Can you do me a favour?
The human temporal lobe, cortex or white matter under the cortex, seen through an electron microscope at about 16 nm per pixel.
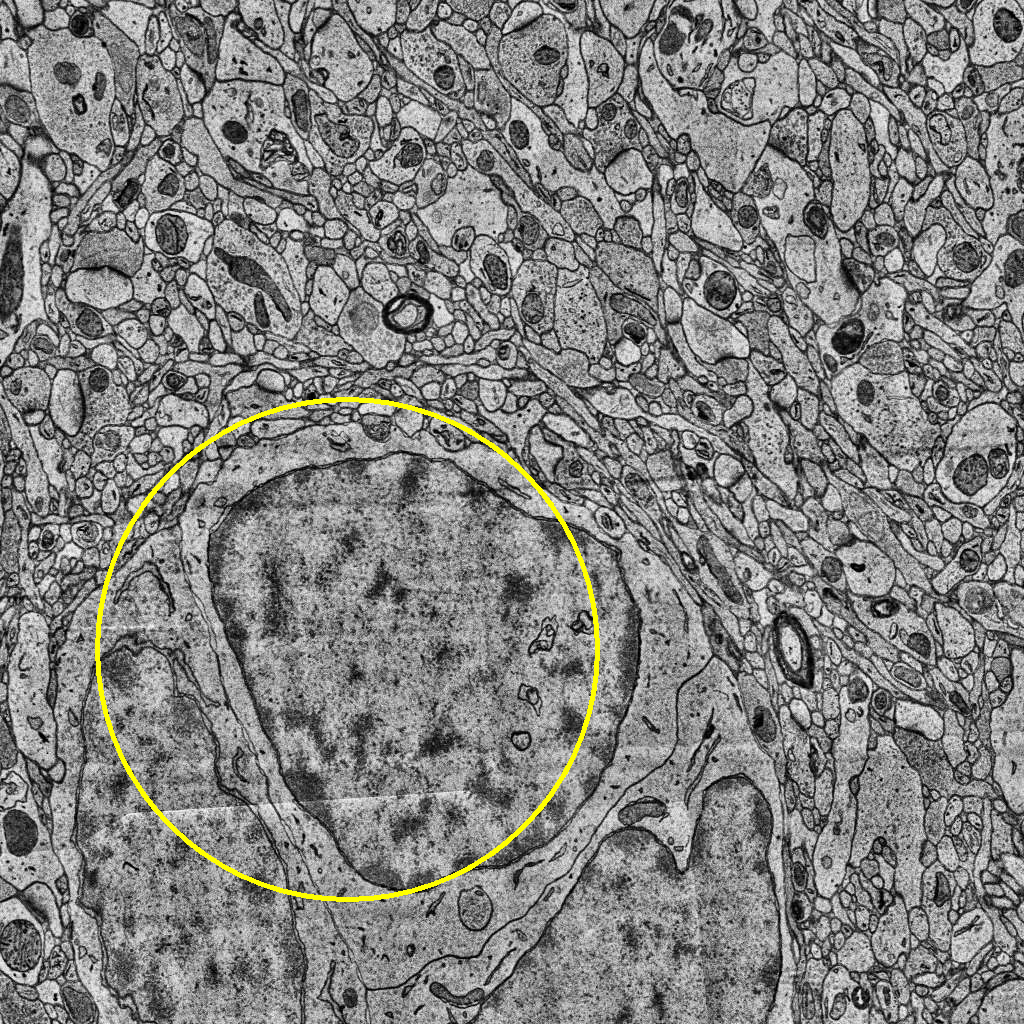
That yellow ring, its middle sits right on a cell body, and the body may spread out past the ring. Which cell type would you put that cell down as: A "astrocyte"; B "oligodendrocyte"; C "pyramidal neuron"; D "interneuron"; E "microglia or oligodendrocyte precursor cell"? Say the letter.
E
